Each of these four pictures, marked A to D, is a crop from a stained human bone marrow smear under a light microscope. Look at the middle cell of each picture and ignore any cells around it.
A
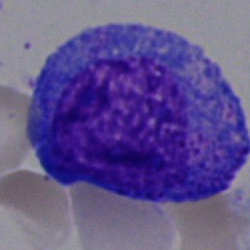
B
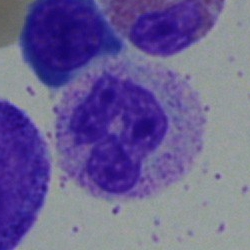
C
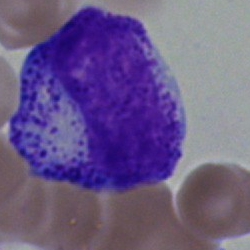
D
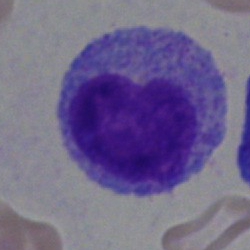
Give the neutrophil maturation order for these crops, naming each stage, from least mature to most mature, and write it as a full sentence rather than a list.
When lined up from least to most mature, the crops are crop A (a promyelocyte), crop D (a myelocyte), crop C (a metamyelocyte) and crop B (a segmented neutrophil).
